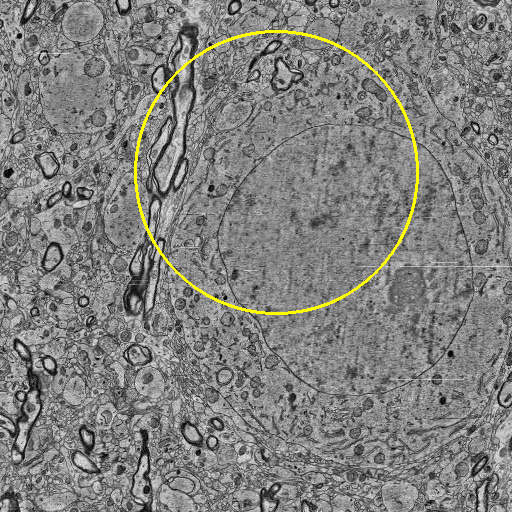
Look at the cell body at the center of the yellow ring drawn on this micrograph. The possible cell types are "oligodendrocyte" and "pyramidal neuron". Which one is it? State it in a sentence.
The cell in the middle of the ring is a pyramidal neuron.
